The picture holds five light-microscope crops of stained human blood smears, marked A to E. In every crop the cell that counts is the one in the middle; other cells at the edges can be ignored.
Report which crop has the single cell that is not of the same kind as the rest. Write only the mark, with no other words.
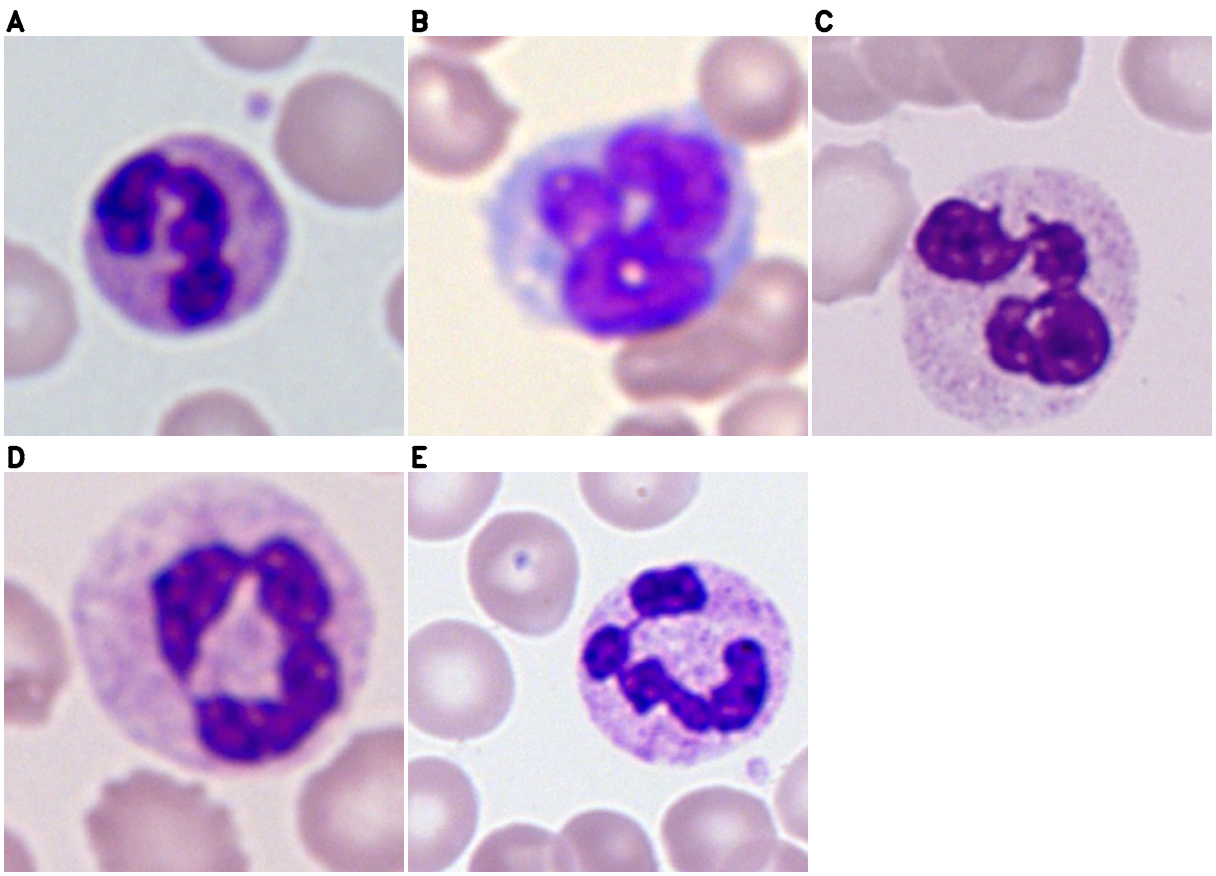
B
